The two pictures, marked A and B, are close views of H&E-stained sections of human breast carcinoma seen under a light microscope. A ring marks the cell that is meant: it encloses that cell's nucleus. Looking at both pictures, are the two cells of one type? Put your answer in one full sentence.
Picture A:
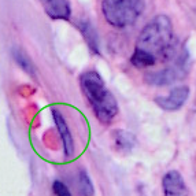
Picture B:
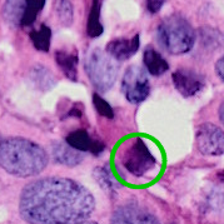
No, the types are not the same, since picture A shows an endothelial cell and picture B a carcinoma cell.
